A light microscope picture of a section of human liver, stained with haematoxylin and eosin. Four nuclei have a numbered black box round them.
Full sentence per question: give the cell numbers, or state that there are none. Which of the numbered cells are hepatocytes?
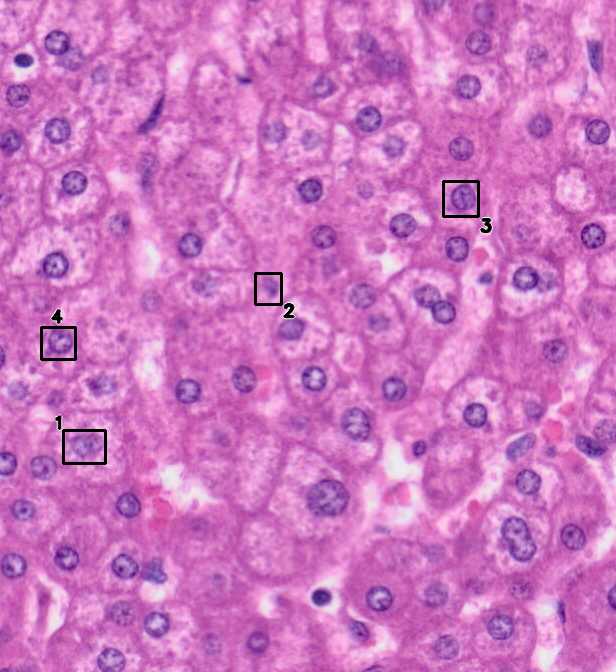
In this section, the cells numbered 1, 3 and 4 are hepatocytes.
